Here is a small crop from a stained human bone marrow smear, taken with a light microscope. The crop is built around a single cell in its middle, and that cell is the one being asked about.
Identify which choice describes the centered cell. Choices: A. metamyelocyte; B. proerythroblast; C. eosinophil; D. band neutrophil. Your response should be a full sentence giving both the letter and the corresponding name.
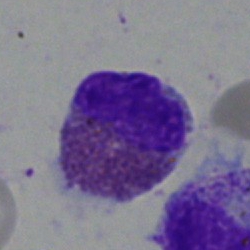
The cell in the center of this crop is an eosinophil, so option C is the one to pick.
